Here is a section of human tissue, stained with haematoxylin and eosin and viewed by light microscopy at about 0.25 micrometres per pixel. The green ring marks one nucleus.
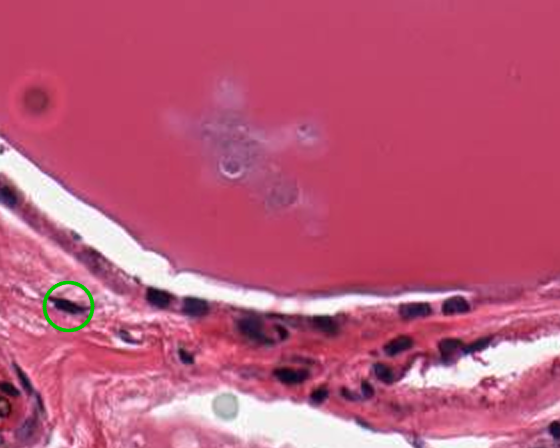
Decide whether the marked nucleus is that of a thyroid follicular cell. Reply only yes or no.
no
